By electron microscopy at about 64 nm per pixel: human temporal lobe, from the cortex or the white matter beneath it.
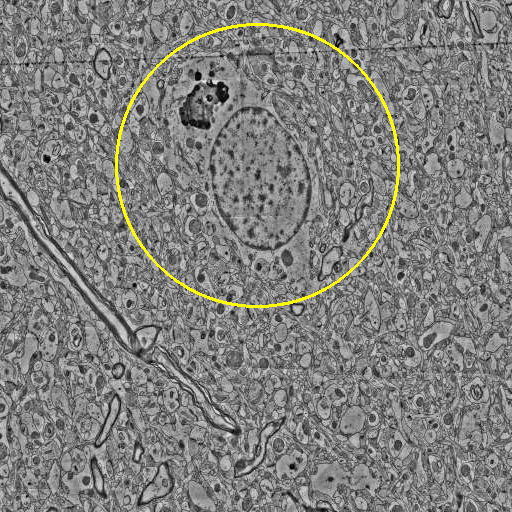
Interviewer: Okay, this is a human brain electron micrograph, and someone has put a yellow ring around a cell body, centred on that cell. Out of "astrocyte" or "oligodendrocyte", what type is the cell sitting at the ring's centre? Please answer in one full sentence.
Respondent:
The cell at the centre of the yellow ring in this picture is an astrocyte.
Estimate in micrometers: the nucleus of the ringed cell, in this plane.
In this plane, approximately 9 by 6 micrometers.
